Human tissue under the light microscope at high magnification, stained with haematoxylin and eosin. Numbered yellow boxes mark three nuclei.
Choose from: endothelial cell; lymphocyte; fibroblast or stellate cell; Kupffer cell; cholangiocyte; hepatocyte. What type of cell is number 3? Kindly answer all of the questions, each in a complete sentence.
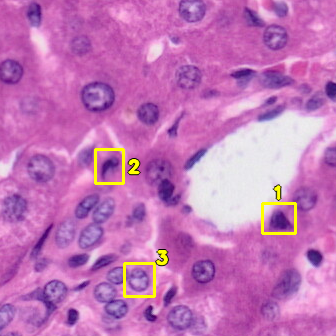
The nucleus with number 3 is that of a cholangiocyte.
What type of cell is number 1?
The cell that bears the number 1 is a fibroblast or stellate cell.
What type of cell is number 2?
The cell that carries the label 2 is a fibroblast or stellate cell.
